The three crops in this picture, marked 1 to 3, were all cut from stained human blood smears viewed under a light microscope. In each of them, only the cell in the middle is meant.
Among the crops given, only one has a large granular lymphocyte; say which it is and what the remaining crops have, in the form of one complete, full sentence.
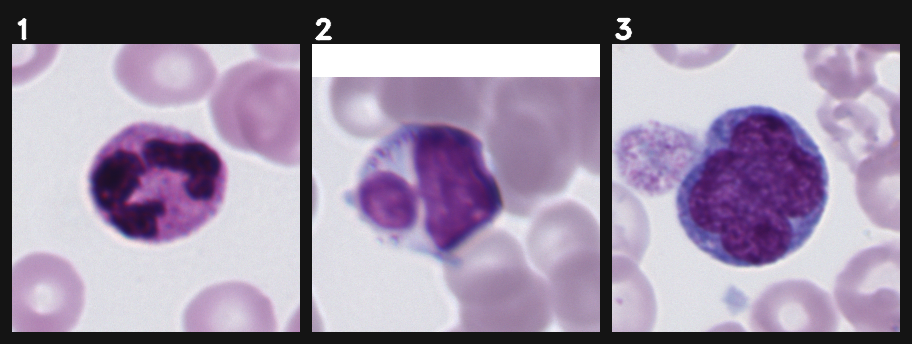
Crop 2 shows a large granular lymphocyte, while crop 1 is a segmented neutrophil and crop 3 is a monocyte.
